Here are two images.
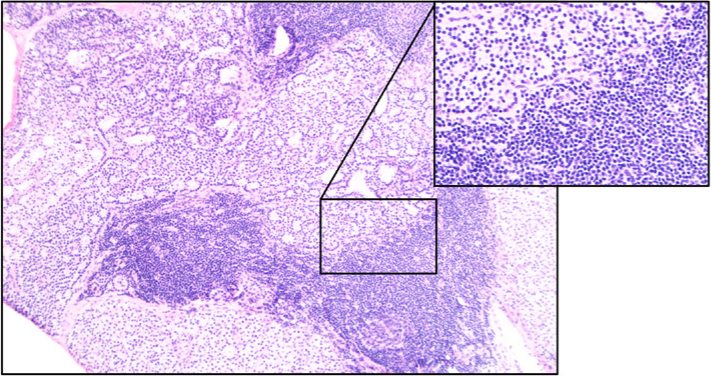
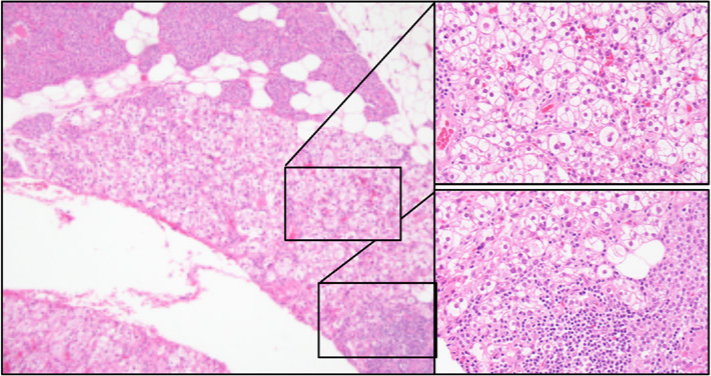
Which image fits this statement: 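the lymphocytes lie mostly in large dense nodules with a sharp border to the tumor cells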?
The first image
